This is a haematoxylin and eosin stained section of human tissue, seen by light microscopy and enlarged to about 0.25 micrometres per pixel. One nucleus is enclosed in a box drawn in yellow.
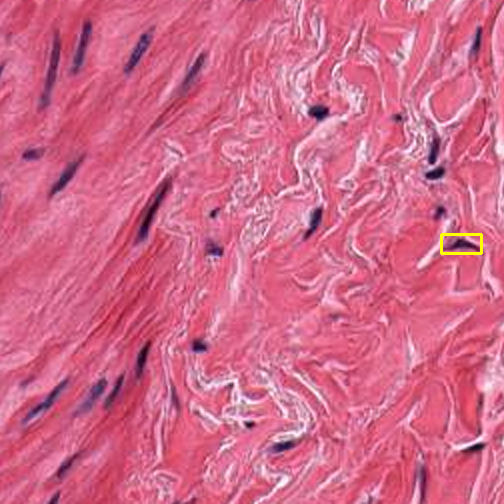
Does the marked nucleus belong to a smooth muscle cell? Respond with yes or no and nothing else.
no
